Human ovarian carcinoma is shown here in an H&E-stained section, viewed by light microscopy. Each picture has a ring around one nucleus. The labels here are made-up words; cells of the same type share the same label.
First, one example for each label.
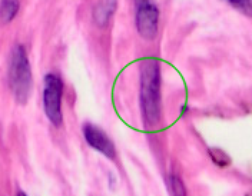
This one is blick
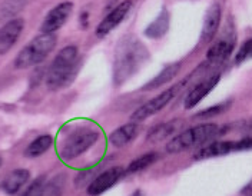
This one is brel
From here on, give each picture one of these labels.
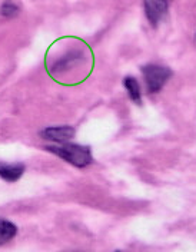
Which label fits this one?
blick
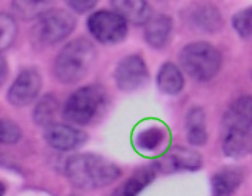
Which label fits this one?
brel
